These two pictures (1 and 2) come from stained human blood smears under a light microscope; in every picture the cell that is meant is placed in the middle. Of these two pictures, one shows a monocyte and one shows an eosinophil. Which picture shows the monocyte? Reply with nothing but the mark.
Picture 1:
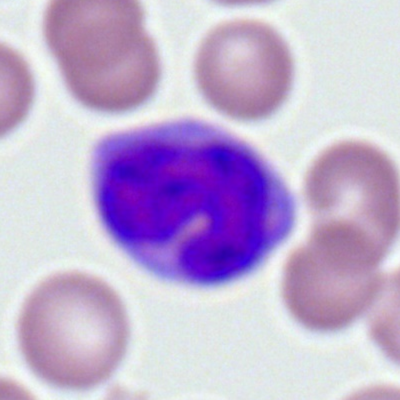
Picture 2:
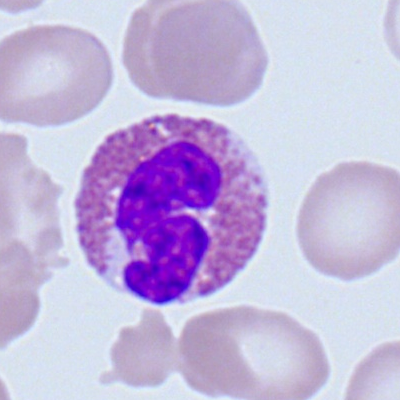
1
